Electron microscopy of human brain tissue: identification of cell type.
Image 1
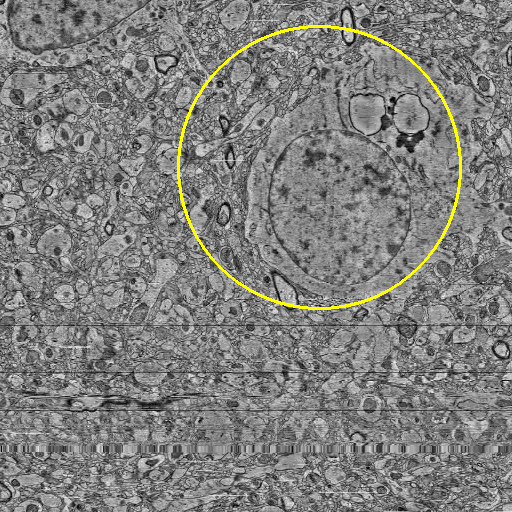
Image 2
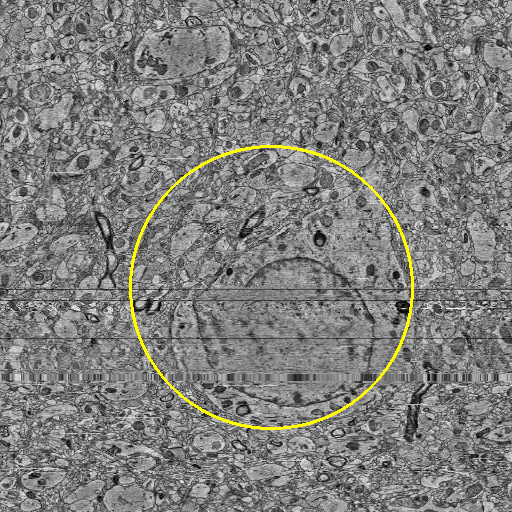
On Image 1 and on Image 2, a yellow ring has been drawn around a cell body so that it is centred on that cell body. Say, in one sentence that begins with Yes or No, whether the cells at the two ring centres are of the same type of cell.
No, the two cells are two separate types of cell.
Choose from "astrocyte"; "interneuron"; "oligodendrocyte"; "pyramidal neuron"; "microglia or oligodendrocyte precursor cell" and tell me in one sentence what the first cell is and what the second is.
What the first ring is centred on is an astrocyte; what the second ring is centred on is a pyramidal neuron.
